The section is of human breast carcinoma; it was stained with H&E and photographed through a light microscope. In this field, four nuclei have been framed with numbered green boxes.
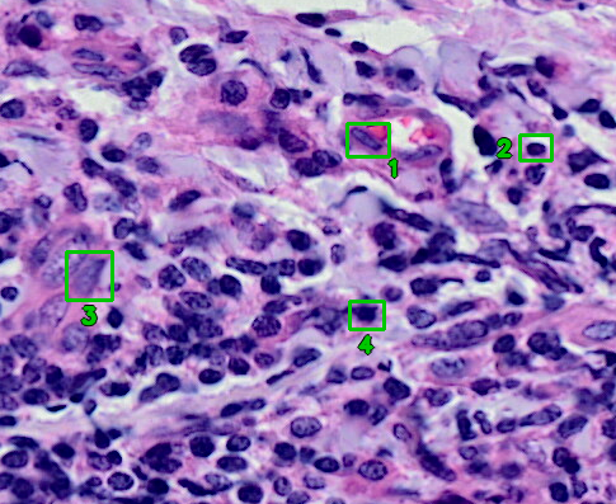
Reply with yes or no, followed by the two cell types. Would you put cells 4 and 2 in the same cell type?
Yes, cells 4 and 2 are both counted as lymphocytes.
